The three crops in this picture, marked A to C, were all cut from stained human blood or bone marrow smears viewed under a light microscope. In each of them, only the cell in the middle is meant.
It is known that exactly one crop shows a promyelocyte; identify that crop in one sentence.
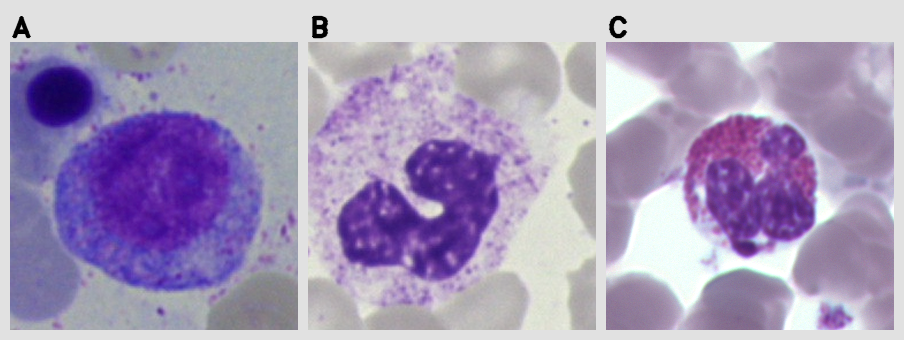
Of the labeled crops, the one with a promyelocyte is crop A.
